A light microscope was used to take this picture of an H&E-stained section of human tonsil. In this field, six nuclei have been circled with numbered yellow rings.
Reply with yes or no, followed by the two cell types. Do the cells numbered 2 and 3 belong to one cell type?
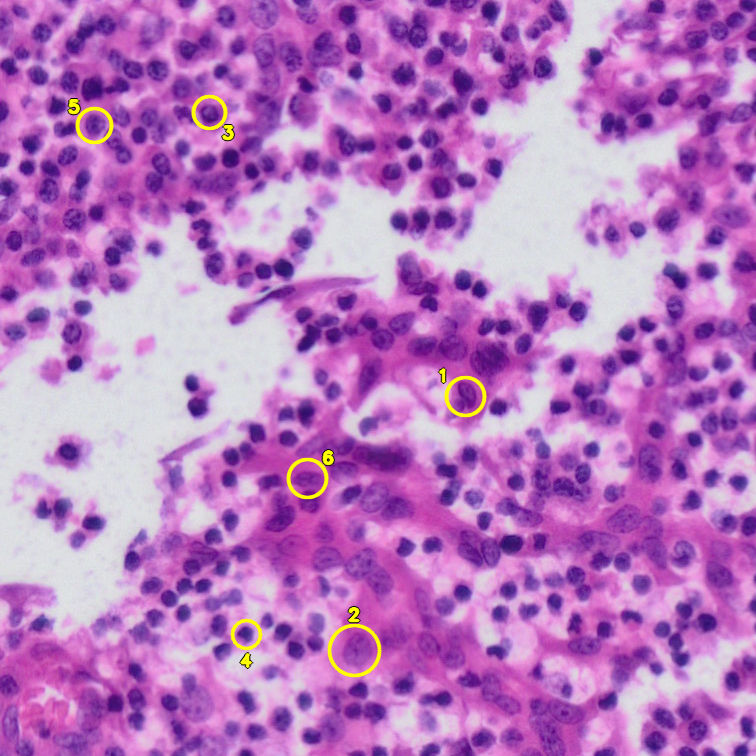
No, here cell 2 is a squamous epithelial cell, whereas cell 3 is a plasma cell.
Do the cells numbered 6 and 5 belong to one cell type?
No, cell 5 is a plasma cell, while cell 6 is a squamous epithelial cell.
